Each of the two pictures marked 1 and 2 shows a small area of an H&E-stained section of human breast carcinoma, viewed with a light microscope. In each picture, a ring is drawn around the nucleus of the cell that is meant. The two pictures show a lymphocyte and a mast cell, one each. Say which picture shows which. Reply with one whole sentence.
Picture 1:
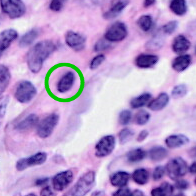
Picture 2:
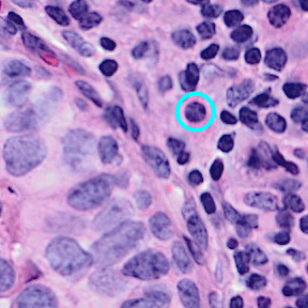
Picture 1 is of a lymphocyte, and picture 2 is of a mast cell.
